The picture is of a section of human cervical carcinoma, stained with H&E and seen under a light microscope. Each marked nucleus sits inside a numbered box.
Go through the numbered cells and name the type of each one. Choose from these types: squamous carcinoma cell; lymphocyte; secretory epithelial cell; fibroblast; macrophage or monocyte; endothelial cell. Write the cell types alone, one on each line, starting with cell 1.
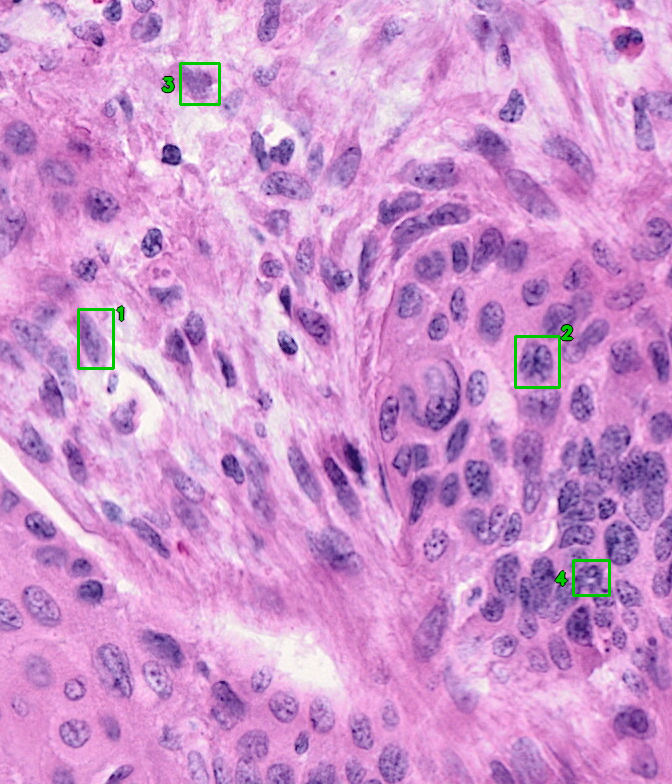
fibroblast
squamous carcinoma cell
fibroblast
squamous carcinoma cell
